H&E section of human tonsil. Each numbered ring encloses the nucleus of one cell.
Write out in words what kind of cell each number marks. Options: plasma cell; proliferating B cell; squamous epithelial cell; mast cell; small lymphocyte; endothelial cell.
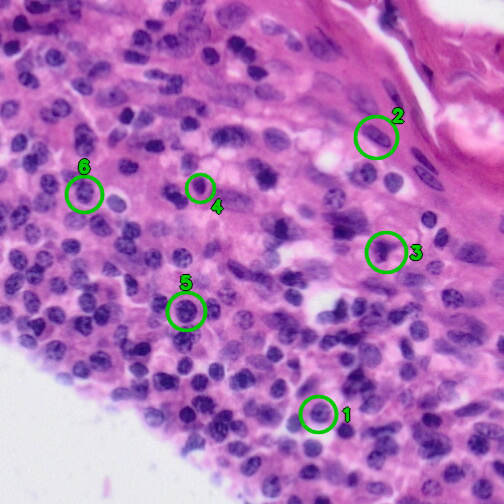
Cell 1 is a plasma cell, cell 2 is a squamous epithelial cell, cell 3 is a squamous epithelial cell, cell 4 is a squamous epithelial cell, cell 5 is a plasma cell and cell 6 is a plasma cell.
